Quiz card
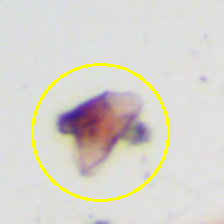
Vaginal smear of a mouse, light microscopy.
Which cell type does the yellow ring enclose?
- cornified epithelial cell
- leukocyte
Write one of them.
cornified epithelial cell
